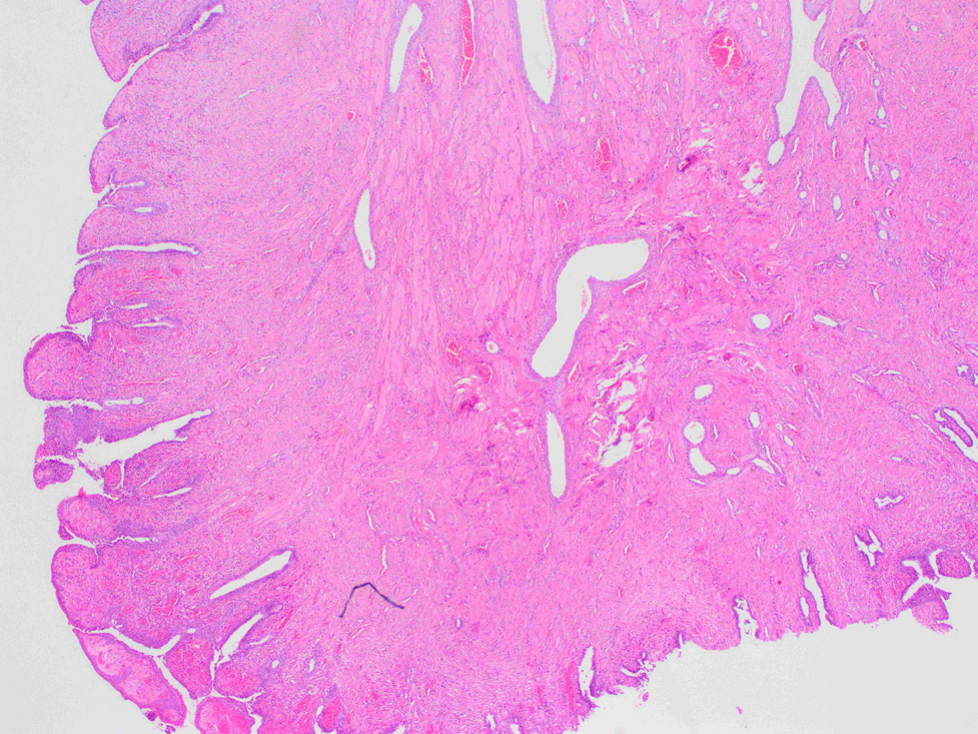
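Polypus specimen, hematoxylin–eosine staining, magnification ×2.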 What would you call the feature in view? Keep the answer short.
Dilated blood vessels.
